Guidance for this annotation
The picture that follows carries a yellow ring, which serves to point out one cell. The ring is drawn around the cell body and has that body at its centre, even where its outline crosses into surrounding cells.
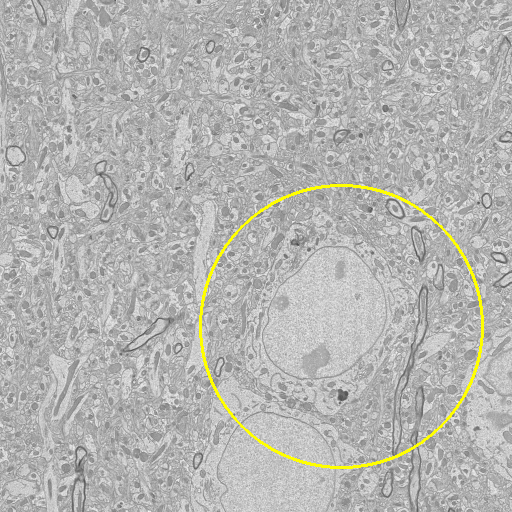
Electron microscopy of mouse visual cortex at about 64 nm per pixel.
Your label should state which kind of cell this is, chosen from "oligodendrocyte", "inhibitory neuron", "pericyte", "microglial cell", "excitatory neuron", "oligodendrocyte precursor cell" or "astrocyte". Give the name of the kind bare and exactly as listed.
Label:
excitatory neuron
